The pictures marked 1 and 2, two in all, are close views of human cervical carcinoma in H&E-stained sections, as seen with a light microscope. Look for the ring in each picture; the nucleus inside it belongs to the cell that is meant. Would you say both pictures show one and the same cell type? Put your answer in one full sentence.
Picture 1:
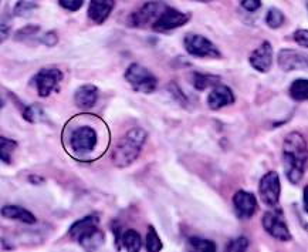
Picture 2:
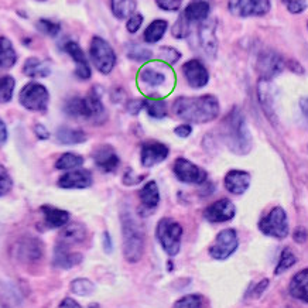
Yes, both cells are lymphocytes.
